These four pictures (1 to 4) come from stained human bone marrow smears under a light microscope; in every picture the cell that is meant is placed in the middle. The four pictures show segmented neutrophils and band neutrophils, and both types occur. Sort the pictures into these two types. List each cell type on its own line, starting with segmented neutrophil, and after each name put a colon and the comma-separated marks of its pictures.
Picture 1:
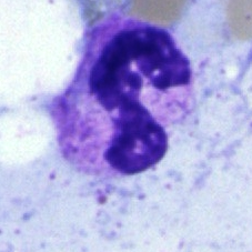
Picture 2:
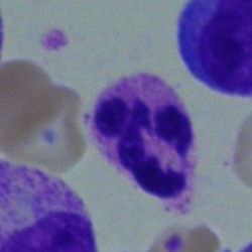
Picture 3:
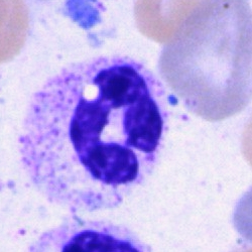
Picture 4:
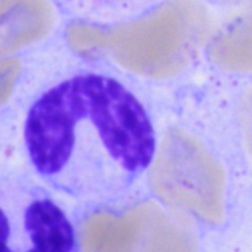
segmented neutrophil: 1, 2, 3
band neutrophil: 4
